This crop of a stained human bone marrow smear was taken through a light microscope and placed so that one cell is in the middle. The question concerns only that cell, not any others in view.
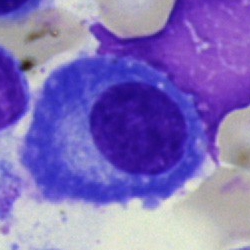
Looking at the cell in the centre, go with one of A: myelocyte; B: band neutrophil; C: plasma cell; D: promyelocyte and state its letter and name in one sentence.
Option C is correct, and the cell in the centre is a plasma cell.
